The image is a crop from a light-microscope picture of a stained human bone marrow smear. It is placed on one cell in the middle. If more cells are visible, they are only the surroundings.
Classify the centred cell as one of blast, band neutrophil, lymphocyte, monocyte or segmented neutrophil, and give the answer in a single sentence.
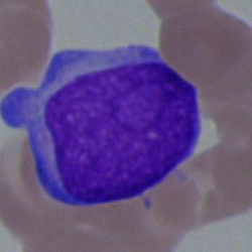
In this smear crop, the middle cell is a blast.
